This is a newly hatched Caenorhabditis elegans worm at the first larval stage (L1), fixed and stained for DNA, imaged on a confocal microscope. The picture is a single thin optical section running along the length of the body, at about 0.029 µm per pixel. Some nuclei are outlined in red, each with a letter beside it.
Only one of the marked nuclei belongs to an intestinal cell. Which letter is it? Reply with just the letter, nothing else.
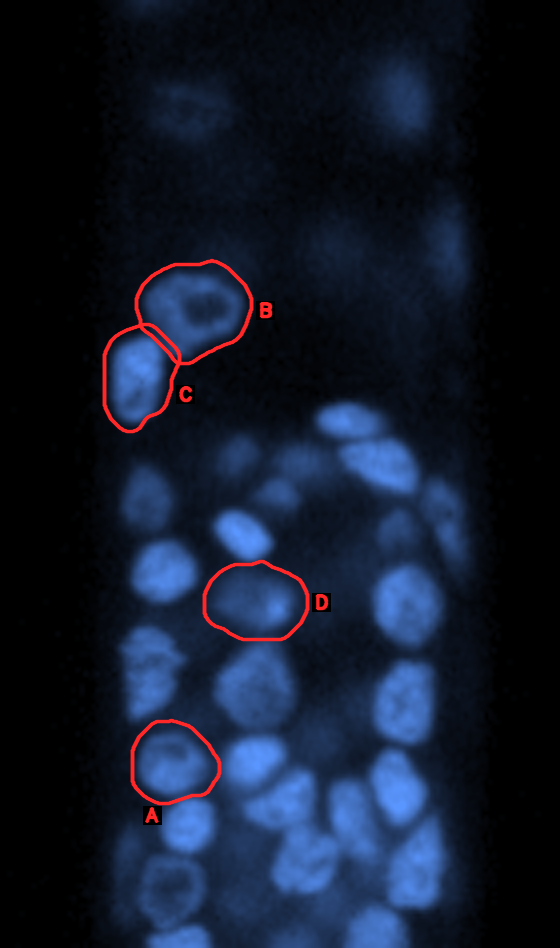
B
